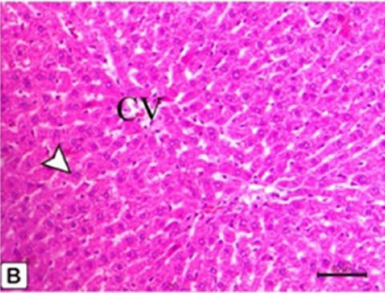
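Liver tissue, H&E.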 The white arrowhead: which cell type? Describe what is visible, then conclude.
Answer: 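Hepatocytes. Polygonal cells with eosinophilic cytoplasm and round nuclei. Cells arranged in radiating plates separated by narrow spaces.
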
